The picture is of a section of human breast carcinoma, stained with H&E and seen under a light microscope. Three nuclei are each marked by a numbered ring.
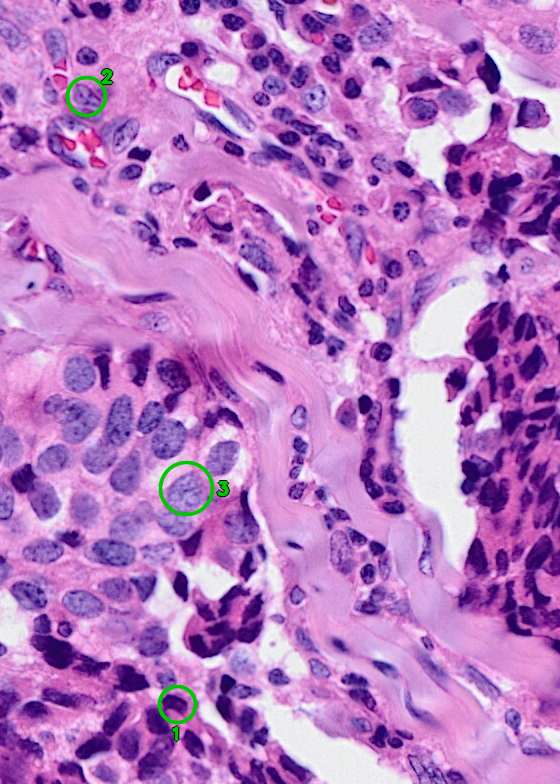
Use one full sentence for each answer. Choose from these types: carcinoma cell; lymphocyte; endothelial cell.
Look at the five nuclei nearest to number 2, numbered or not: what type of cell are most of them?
Endothelial cells account for more than half of the five nuclei nearest to number 2.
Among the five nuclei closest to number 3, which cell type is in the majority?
The majority of the five nuclei closest to number 3 belong to carcinoma cells.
